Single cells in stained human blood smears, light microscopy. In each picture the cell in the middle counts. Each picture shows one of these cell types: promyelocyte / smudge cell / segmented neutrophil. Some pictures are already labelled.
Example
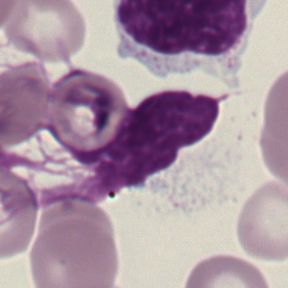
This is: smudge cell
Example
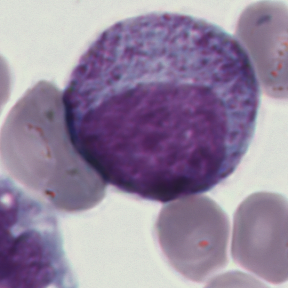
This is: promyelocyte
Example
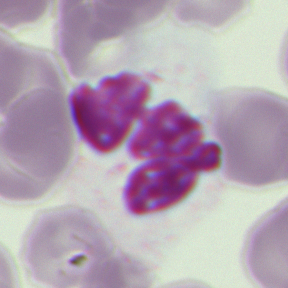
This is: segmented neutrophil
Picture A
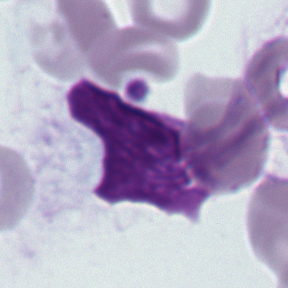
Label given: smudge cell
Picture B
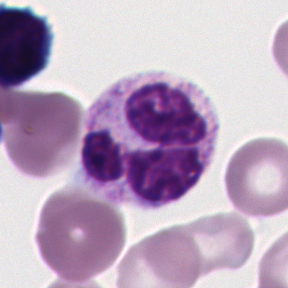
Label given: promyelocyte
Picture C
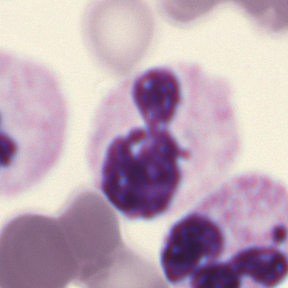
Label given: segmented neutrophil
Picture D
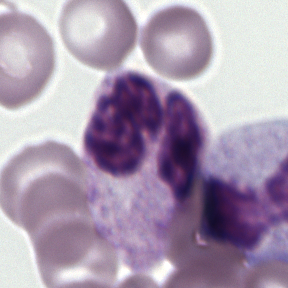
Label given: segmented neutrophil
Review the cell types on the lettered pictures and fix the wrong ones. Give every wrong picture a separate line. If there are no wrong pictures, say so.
B: not promyelocyte but segmented neutrophil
